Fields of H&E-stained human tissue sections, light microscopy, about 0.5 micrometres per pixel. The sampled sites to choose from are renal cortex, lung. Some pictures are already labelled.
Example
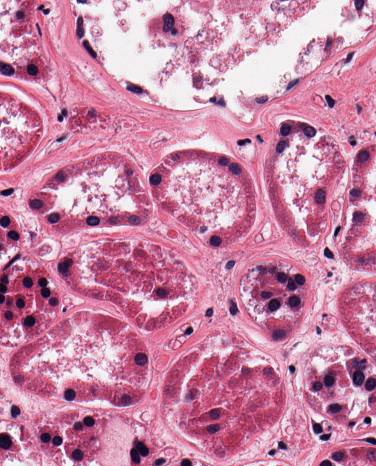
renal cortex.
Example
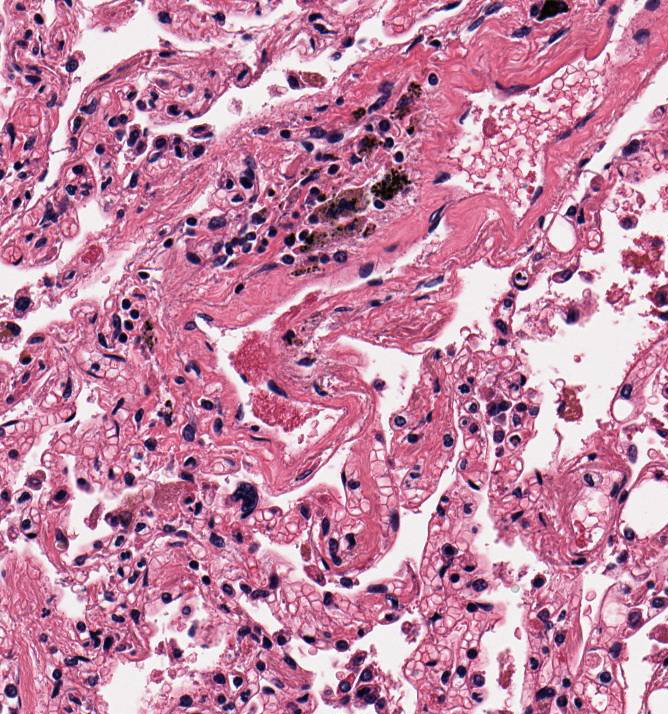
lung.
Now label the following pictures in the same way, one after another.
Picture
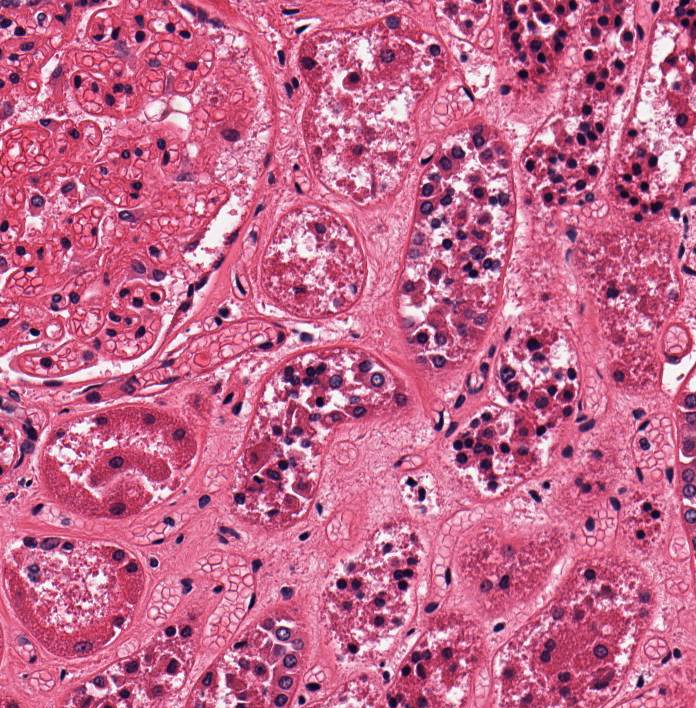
renal cortex.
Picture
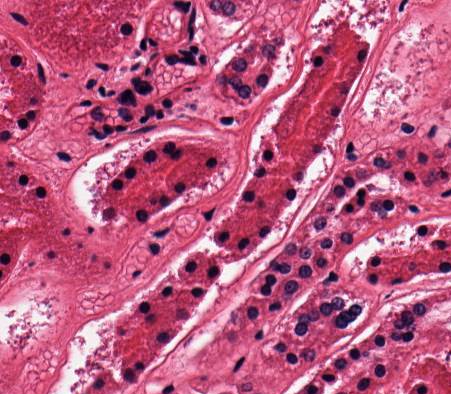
renal cortex.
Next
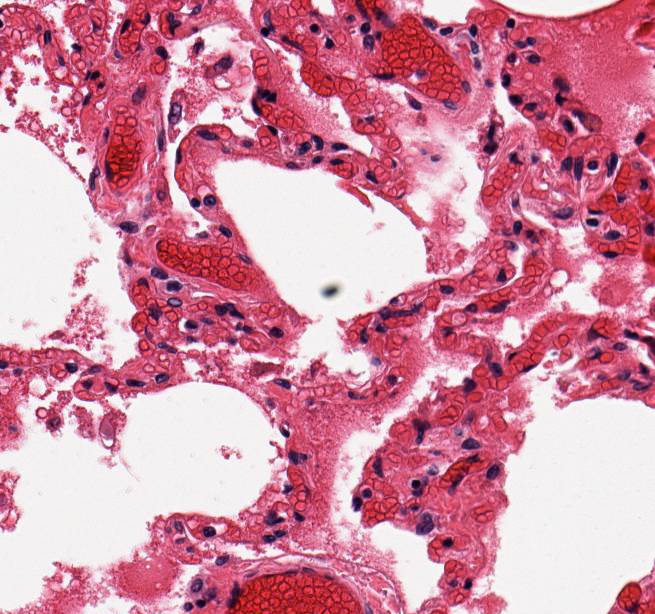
lung.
